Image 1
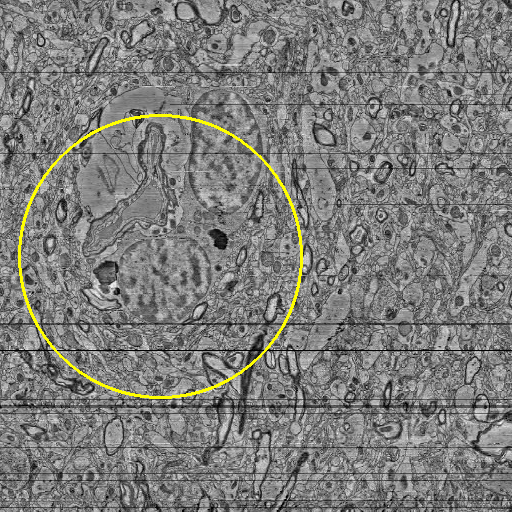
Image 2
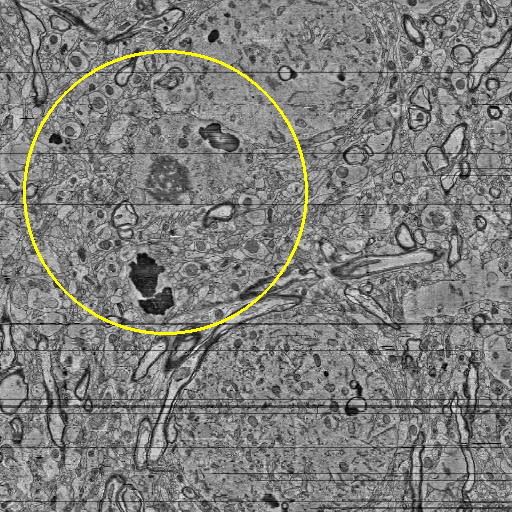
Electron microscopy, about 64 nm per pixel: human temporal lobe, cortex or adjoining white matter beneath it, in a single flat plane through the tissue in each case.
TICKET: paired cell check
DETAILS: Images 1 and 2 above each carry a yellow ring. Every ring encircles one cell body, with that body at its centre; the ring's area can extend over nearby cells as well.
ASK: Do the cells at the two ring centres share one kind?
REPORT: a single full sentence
Yes, the ring-centre cells of Images 1 and 2 belong to a single kind.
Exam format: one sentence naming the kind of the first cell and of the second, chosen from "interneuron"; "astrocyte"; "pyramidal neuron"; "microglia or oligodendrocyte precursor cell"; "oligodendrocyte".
In the first picture and in the second, the ring is centred on an oligodendrocyte.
